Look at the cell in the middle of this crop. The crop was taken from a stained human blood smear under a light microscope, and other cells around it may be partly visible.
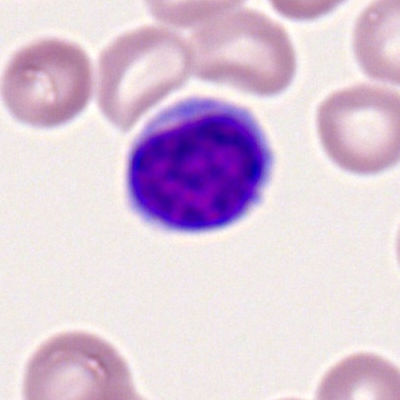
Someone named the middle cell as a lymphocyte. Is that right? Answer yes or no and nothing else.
yes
